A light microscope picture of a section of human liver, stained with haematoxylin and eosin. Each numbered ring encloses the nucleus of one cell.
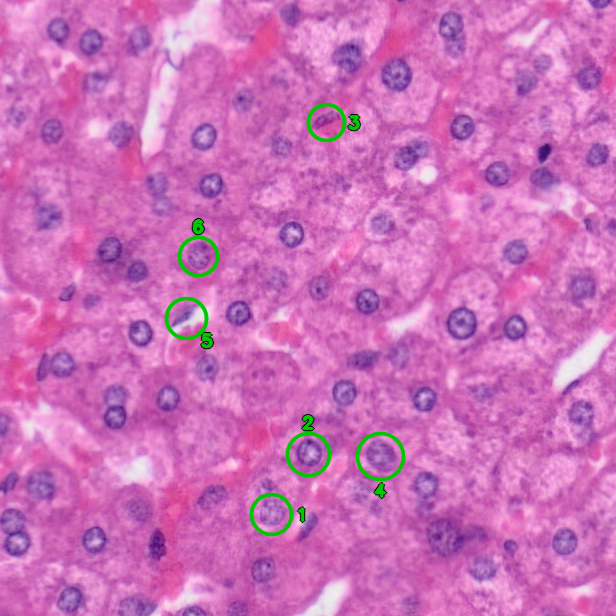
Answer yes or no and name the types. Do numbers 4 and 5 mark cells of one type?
No, cell 4 is a hepatocyte and cell 5 is an endothelial cell.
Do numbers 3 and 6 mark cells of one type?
No, cell 3 is an endothelial cell and cell 6 is a hepatocyte.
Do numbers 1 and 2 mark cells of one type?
Yes, both are hepatocytes.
